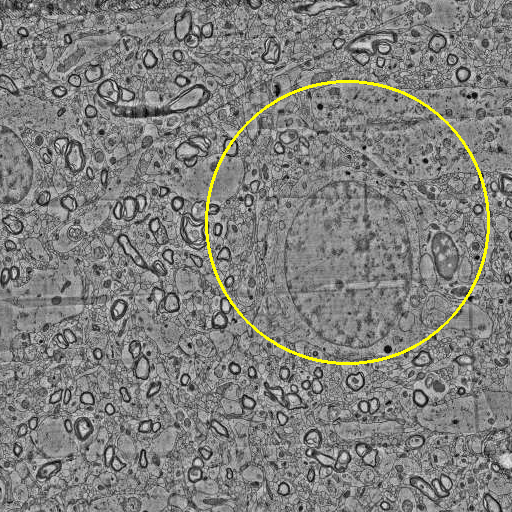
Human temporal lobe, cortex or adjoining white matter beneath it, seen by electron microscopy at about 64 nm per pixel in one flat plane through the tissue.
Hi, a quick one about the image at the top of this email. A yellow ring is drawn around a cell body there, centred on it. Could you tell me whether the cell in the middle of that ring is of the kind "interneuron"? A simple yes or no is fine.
yes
